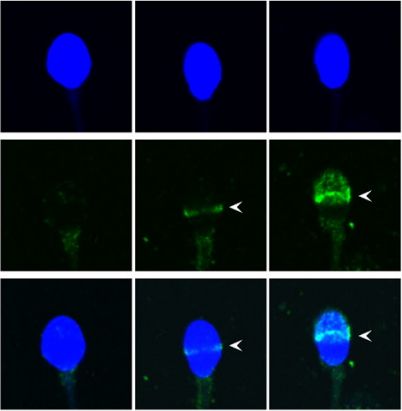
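Each image shows a single sperm head, an oval blue-stained nucleus with the start of the tail below it. In the left column only faint green speckles are seen, without a defined place on the head. In the middle column a narrow green line crosses the head at its middle, the equatorial region, pointed out by a white arrowhead. In the right column green dots gather over the front of the head as a cap over the acrosomal region, with a brighter band at its lower edge.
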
